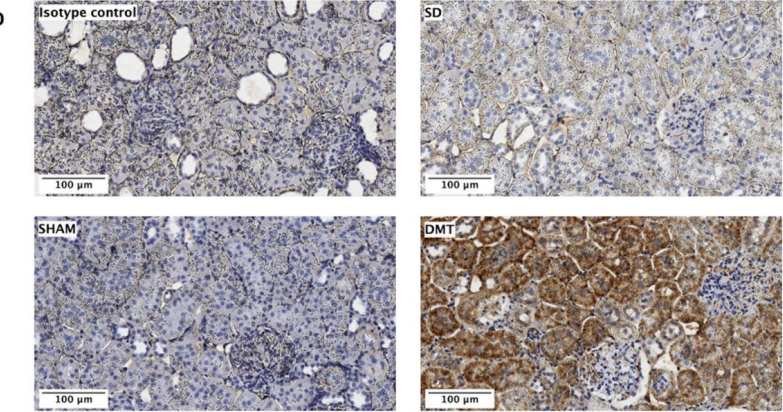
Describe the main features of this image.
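Four fields of kidney cortex show closely packed tubules cut in cross-section, lined by cuboidal epithelial cells with blue nuclei, with occasional rounded glomeruli among them. In three of the fields the tubular cytoplasm is pale grey to faintly tan, and one of them shows many open, empty round lumens. In the fourth field the cytoplasm of the cells lining most of the tubules is stained an intense brown, with the nuclei left blue. A rounded cluster of cells at the right of this brown field stays largely unstained, setting it apart from the surrounding tubules.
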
